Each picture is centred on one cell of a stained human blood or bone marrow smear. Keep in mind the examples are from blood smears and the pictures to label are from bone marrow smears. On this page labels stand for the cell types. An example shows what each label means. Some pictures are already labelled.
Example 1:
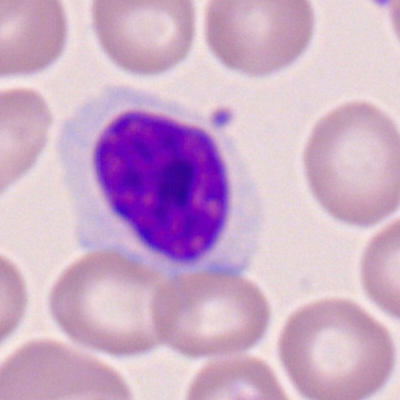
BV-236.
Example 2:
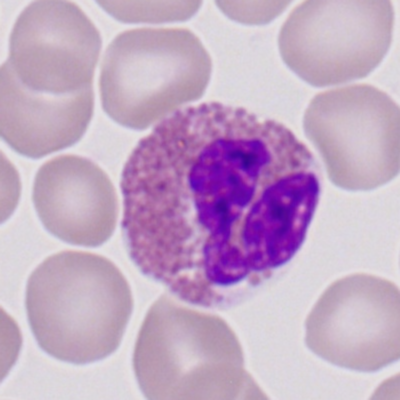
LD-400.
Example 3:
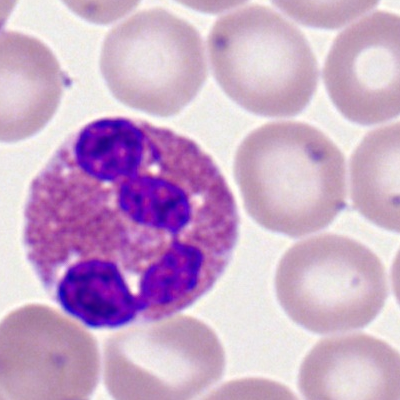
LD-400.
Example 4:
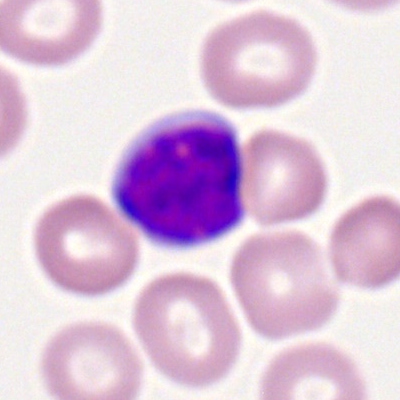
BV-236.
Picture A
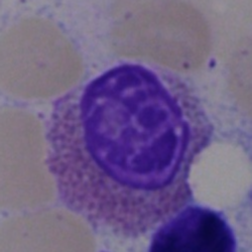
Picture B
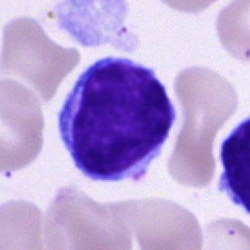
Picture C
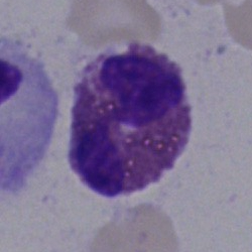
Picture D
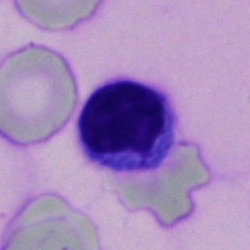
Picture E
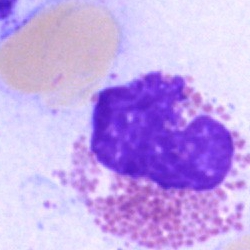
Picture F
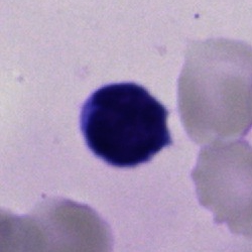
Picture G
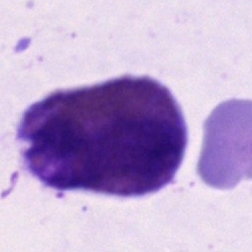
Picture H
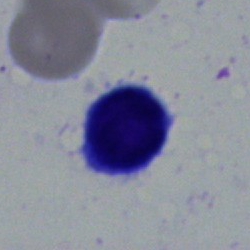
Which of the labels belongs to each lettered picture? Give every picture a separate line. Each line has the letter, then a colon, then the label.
A: LD-400.
B: BV-236.
C: LD-400.
D: BV-236.
E: LD-400.
F: BV-236.
G: LD-400.
H: BV-236.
